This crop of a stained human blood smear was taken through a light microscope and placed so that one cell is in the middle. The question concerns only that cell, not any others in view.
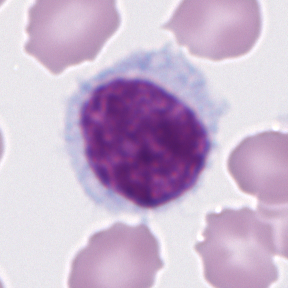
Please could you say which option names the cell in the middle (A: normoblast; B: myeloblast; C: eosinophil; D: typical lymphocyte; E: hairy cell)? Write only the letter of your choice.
E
